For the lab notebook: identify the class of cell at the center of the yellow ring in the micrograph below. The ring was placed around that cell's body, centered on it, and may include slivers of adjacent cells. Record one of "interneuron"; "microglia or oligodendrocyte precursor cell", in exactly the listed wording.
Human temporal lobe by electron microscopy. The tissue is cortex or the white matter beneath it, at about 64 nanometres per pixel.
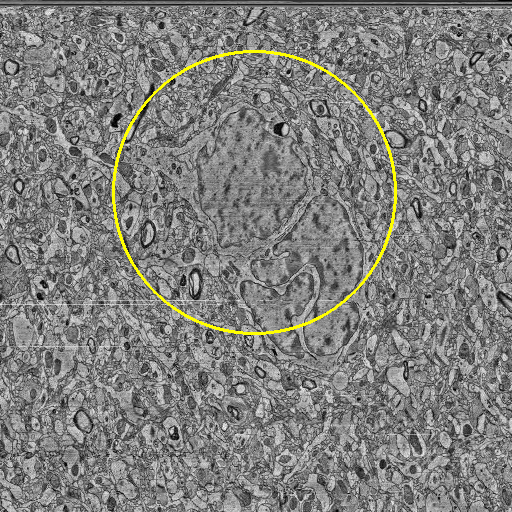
interneuron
